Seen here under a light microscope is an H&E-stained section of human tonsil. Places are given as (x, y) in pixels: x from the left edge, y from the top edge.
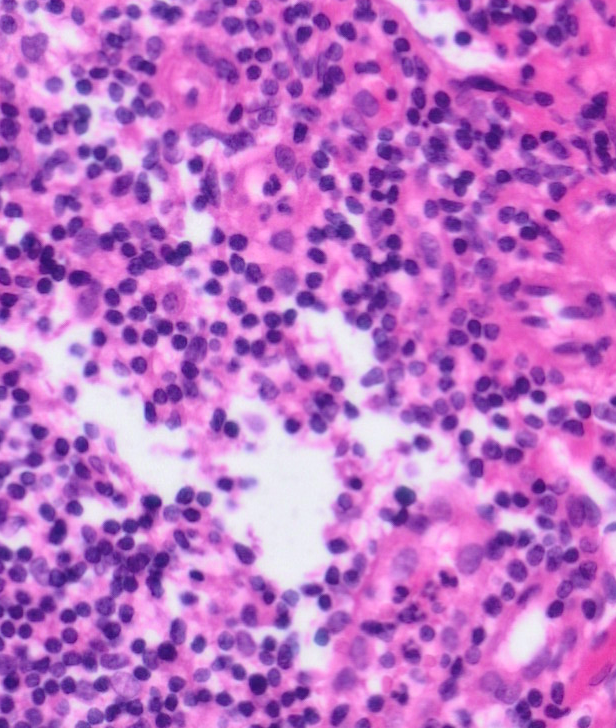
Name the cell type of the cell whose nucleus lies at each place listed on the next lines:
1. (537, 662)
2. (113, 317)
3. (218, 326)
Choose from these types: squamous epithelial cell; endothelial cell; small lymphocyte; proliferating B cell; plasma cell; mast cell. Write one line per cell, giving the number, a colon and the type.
1: endothelial cell
2: small lymphocyte
3: small lymphocyte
